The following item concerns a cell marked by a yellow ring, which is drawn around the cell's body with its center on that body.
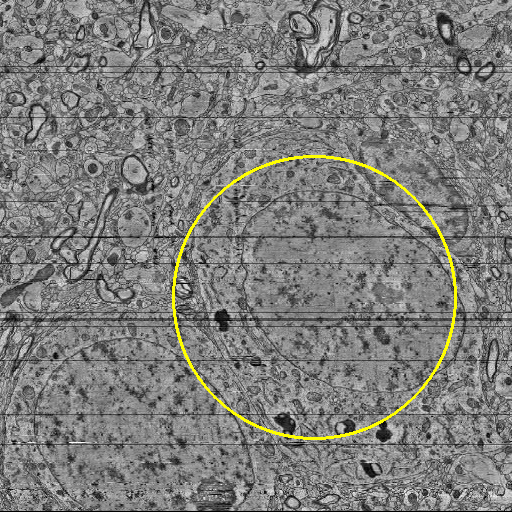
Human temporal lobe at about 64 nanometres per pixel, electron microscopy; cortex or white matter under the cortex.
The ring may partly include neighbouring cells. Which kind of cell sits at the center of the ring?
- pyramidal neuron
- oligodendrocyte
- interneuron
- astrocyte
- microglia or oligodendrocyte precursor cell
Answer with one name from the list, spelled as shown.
pyramidal neuron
